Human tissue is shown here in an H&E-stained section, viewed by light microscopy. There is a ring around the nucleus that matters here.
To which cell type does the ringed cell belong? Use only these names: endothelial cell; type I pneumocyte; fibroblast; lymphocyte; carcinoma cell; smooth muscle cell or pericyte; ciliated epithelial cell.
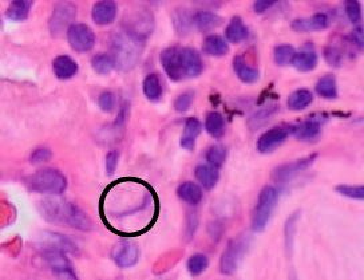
fibroblast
